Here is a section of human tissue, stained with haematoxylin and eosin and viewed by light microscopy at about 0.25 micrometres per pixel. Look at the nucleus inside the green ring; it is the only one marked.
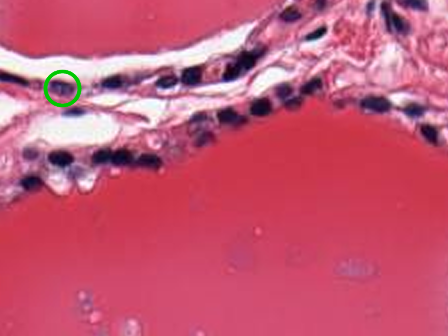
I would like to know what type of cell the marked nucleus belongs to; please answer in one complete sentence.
The marked nucleus belongs, in this picture, to a thyroid follicular cell.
